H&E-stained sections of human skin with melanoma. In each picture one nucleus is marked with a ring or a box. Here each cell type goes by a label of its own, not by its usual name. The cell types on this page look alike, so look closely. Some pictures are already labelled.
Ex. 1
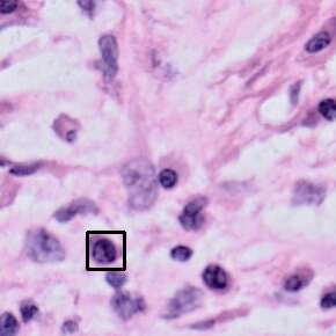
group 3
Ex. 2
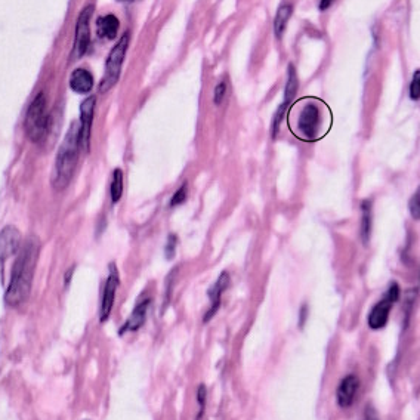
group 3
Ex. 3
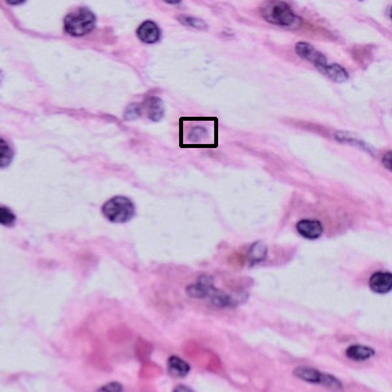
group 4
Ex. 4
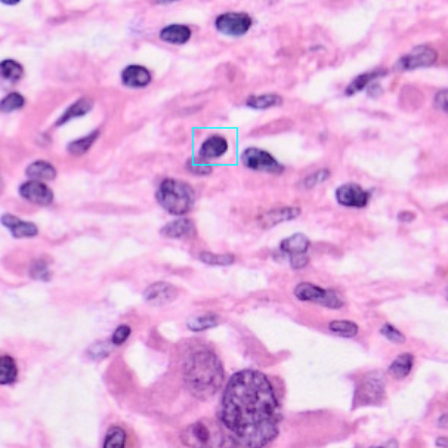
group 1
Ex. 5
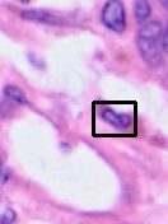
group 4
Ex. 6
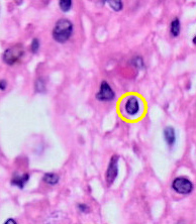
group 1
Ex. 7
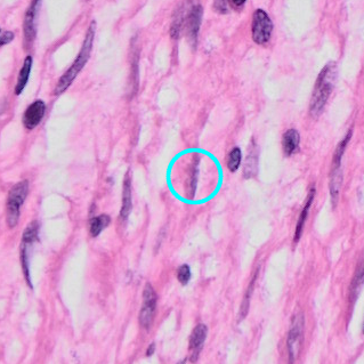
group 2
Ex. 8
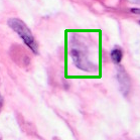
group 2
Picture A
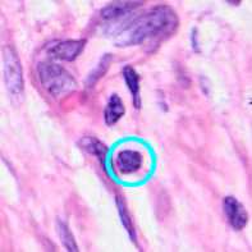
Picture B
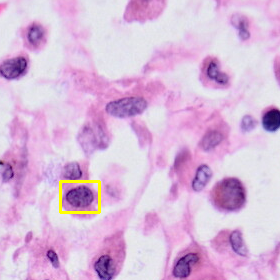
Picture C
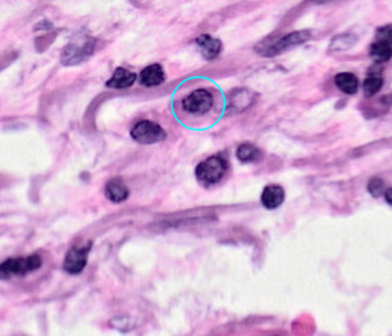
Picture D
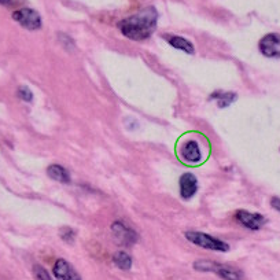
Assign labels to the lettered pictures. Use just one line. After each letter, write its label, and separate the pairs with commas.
A group 1, B group 4, C group 3, D group 1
